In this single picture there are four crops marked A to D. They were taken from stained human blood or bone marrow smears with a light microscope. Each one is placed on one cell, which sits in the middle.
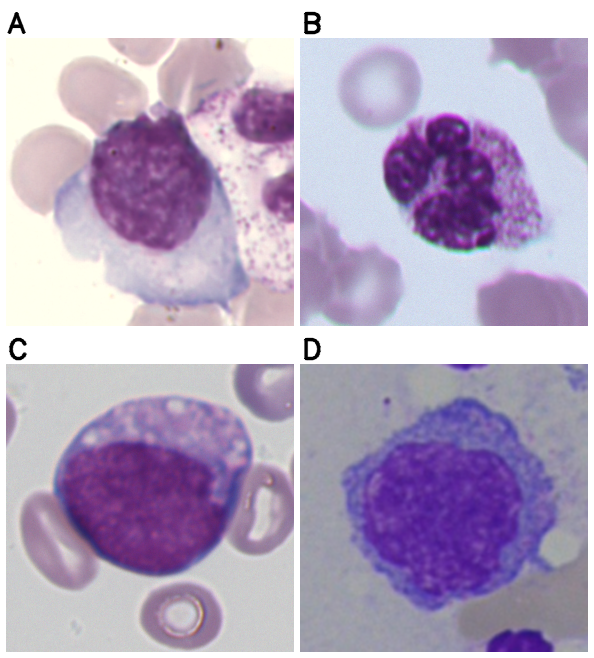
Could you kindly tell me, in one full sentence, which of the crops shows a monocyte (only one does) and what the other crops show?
Crop D is recognised as a monocyte, whereas crop A is a plasma cell, crop B is a segmented neutrophil and crop C is a promyelocyte.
